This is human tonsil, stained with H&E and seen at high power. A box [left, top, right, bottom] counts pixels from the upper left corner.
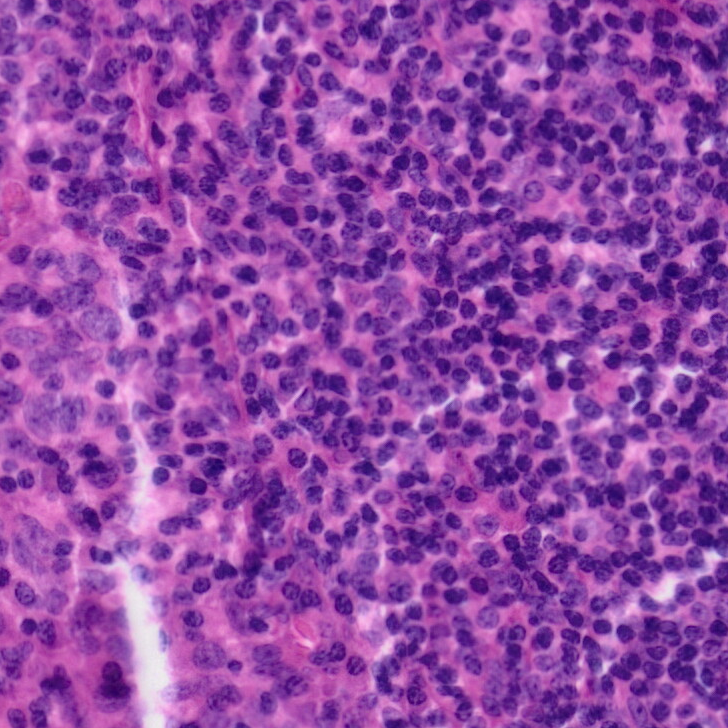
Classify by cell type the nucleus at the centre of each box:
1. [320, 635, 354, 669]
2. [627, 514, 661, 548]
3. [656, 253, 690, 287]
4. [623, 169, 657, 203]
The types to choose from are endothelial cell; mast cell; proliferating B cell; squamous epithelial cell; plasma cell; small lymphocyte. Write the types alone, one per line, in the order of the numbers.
plasma cell
small lymphocyte
small lymphocyte
small lymphocyte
